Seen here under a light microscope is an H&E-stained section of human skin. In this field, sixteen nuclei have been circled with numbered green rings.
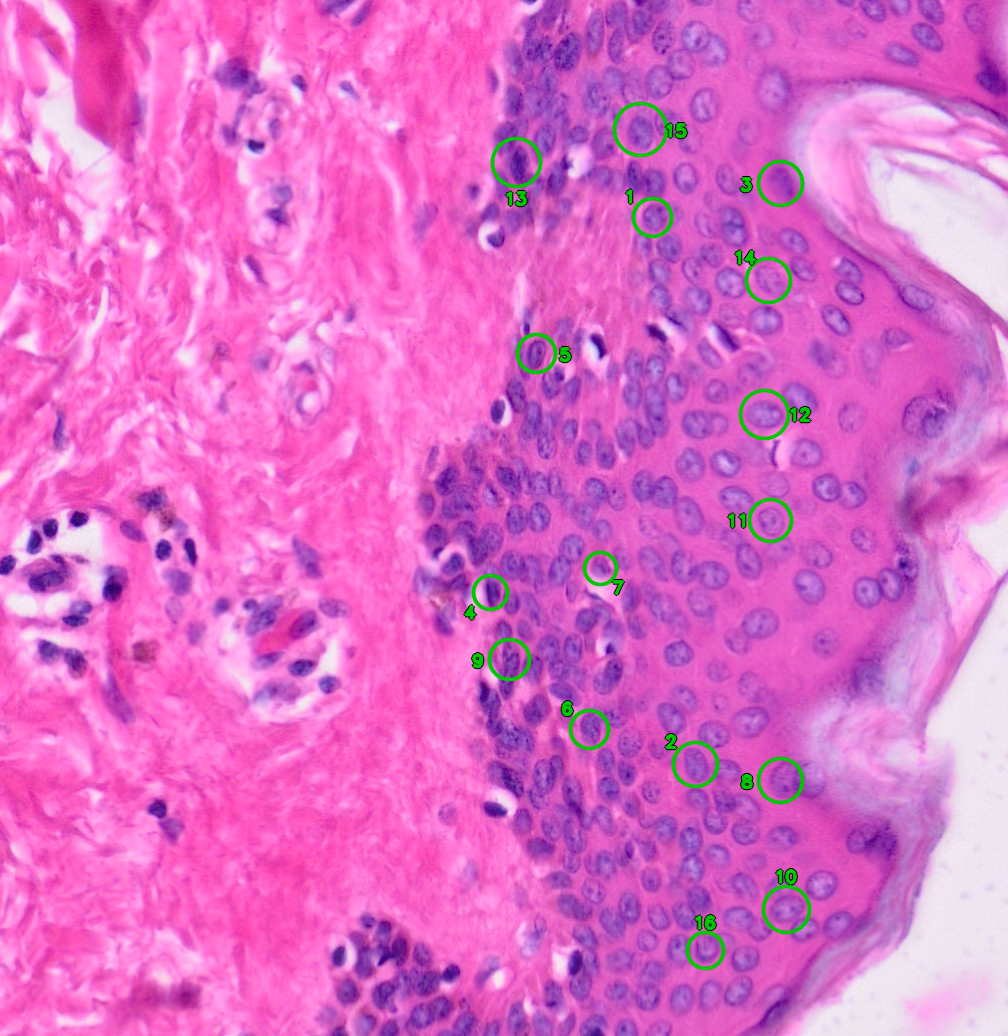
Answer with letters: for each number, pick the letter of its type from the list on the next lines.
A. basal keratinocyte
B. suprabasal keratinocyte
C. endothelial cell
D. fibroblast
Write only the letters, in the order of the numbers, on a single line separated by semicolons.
A; B; B; A; A; A; A; B; A; B; B; B; A; B; B; B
